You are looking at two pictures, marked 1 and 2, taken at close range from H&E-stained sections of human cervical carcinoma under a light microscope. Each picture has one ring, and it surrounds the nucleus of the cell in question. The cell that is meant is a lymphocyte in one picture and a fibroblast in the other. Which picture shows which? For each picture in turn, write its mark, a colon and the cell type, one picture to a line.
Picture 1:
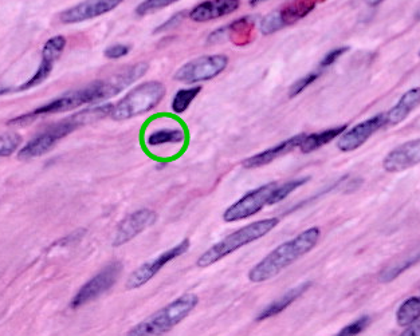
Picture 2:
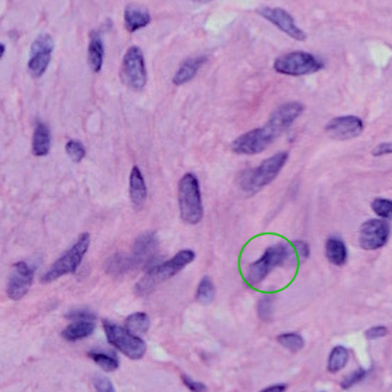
1: lymphocyte
2: fibroblast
